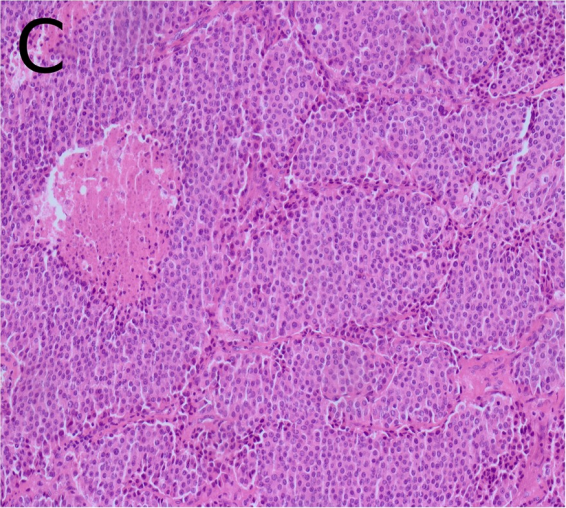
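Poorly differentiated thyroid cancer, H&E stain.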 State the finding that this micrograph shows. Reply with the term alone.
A: necrosis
